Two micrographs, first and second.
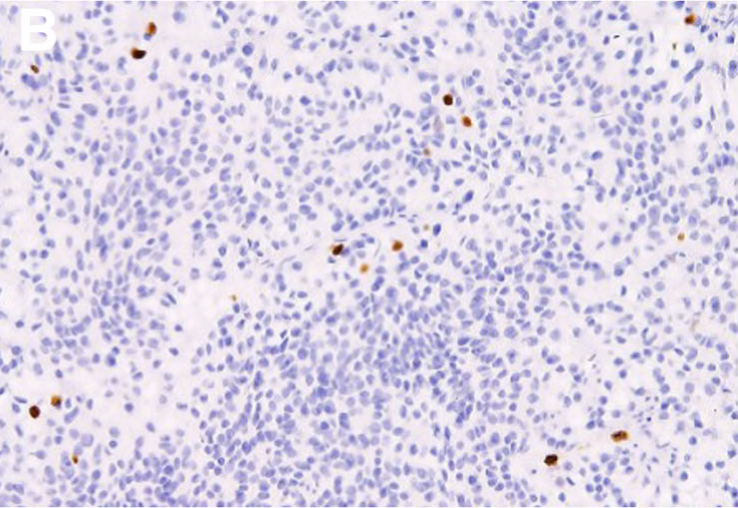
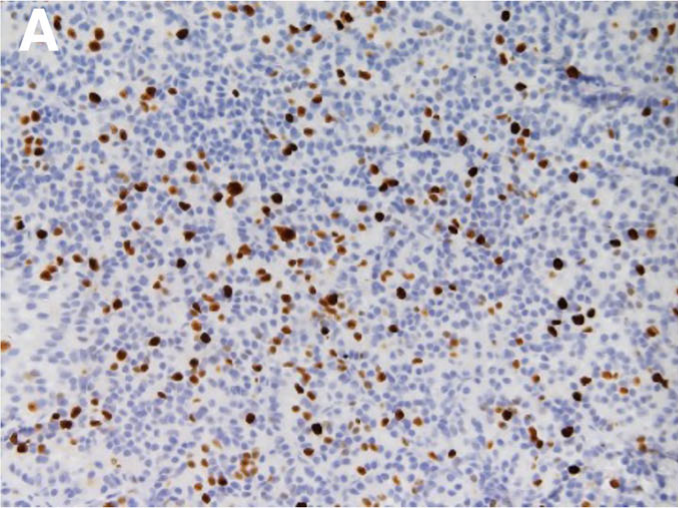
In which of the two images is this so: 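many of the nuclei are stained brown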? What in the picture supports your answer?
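First image: only a handful of scattered brown nuclei among many blue nuclei. Second image: numerous brown nuclei dispersed throughout the field.
Conclusion: the second image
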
